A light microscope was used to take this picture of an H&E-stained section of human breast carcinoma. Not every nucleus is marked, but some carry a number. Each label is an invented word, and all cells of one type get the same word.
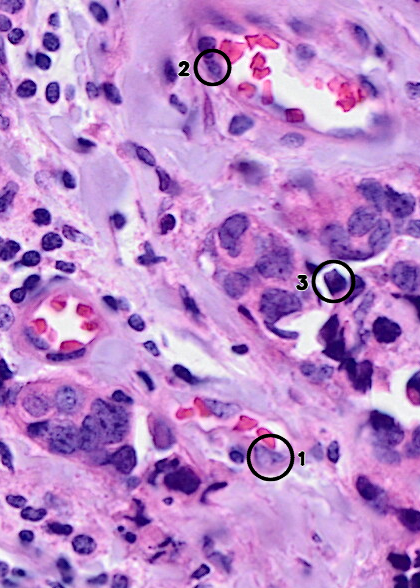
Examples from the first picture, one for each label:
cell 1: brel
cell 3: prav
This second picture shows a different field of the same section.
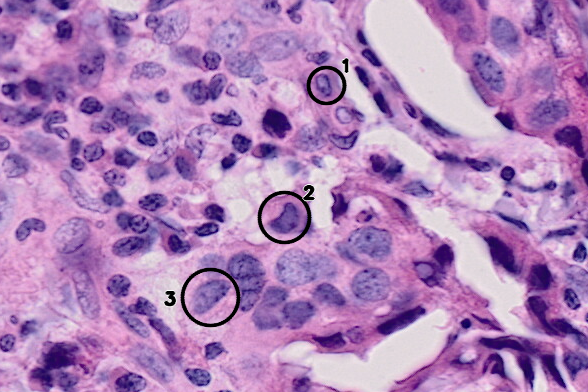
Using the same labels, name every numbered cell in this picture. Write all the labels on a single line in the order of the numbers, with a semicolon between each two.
brel; prav; prav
